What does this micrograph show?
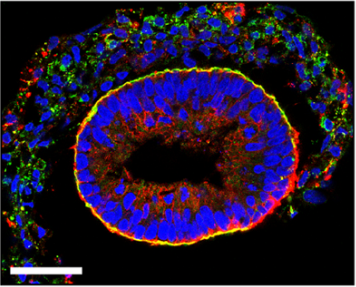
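An inner ring of densely packed blue nuclei surrounds a central cavity, and its outer surface is lined by a thin continuous green-yellow band. Outside this band a looser layer of cells is dotted with green and red speckles.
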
